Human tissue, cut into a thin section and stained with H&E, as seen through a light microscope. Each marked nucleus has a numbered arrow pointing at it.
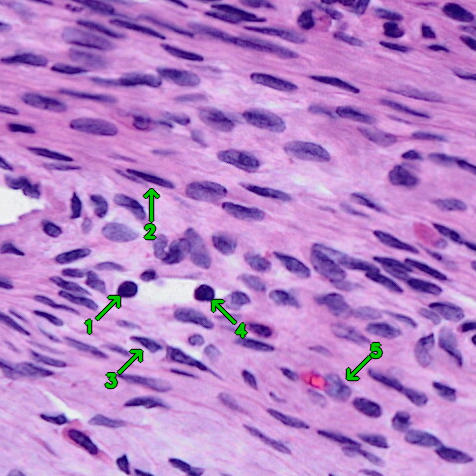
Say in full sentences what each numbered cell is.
Cells 1 and 4 are lymphocytes. Cells 2 and 3 are fibroblasts. Cell 5 is an endothelial cell.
